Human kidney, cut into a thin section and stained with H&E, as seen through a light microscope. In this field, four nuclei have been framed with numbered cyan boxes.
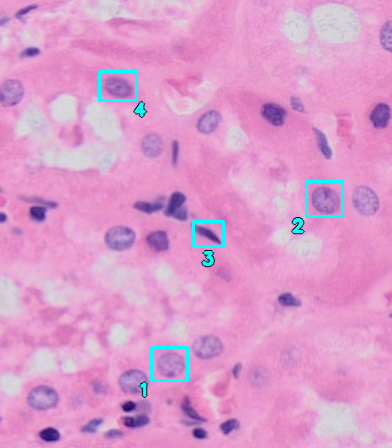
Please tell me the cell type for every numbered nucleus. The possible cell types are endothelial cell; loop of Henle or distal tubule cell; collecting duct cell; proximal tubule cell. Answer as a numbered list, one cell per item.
1. proximal tubule cell
2. proximal tubule cell
3. endothelial cell
4. proximal tubule cell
